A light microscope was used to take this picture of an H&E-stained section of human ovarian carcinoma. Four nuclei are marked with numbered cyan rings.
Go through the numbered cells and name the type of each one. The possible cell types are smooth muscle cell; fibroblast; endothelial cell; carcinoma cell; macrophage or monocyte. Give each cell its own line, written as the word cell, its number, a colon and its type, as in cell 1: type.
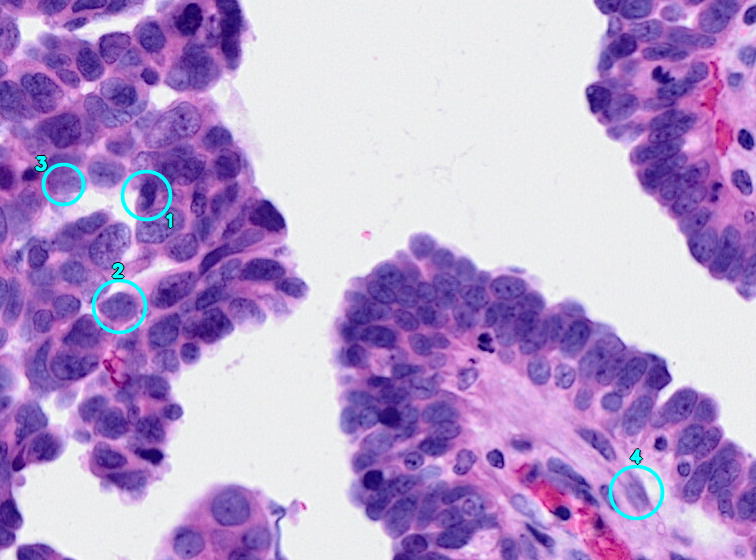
cell 1: carcinoma cell
cell 2: carcinoma cell
cell 3: carcinoma cell
cell 4: fibroblast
